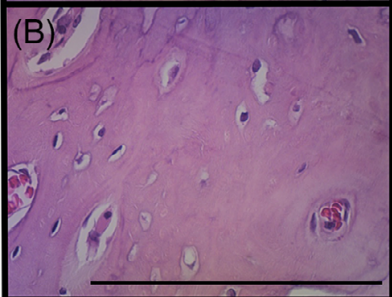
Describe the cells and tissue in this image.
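Pink-stained bone holds many osteocytes, each a dark purple nucleus lying in its own small lacuna scattered through the matrix. Several vascular canals cross the bone, some containing red-stained blood cells.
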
